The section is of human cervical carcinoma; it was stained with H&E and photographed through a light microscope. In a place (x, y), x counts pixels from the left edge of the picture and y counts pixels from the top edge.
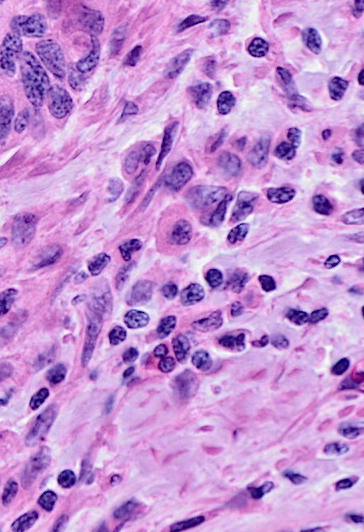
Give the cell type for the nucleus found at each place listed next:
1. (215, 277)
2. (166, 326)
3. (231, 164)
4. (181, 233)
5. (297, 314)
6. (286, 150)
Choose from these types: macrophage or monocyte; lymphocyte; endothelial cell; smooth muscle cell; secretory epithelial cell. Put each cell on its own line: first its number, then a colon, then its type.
1: lymphocyte
2: lymphocyte
3: endothelial cell
4: macrophage or monocyte
5: lymphocyte
6: lymphocyte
